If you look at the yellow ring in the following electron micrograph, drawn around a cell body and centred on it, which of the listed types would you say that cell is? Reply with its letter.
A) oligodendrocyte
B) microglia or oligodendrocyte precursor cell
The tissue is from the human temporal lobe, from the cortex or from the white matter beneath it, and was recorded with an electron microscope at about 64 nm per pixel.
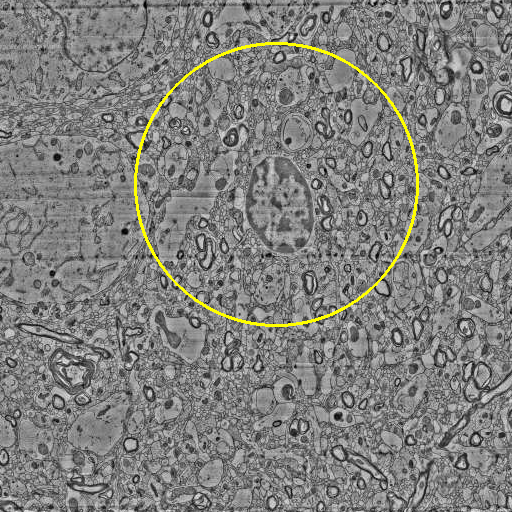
B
